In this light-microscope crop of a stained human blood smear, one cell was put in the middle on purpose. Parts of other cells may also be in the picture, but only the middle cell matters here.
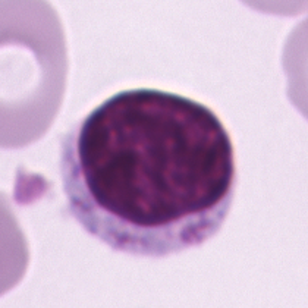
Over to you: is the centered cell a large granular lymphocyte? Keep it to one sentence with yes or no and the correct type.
Yes, the middle cell is properly termed a large granular lymphocyte.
